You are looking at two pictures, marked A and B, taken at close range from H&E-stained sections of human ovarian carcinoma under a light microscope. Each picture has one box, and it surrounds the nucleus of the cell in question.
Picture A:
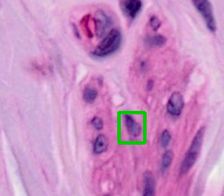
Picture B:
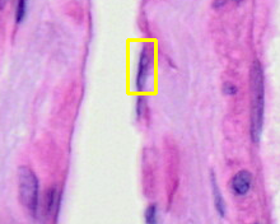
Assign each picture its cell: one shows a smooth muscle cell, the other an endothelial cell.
A: smooth muscle cell
B: endothelial cell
